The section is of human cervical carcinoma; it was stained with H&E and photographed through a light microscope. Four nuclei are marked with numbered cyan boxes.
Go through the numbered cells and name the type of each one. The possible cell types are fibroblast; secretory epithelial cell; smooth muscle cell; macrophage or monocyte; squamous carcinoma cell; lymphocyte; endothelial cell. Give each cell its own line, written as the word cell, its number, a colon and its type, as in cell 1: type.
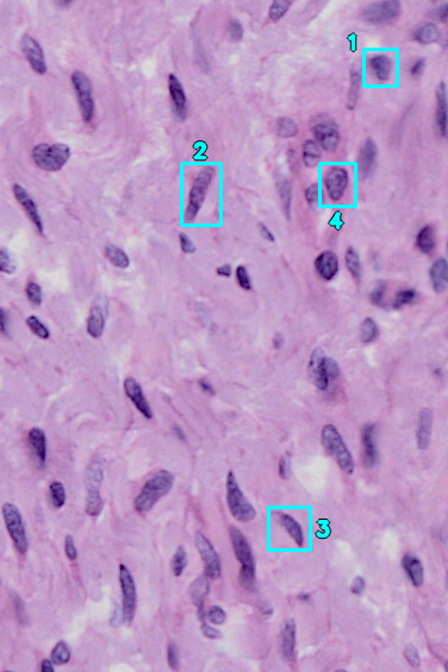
cell 1: fibroblast
cell 2: fibroblast
cell 3: fibroblast
cell 4: endothelial cell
